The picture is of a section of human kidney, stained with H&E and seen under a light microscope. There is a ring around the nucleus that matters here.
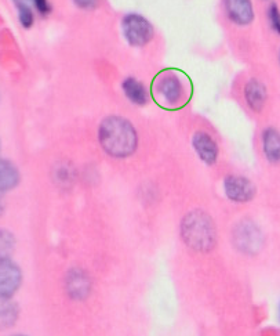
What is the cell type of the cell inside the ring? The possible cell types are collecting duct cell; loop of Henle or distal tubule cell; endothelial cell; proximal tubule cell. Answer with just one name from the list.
loop of Henle or distal tubule cell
